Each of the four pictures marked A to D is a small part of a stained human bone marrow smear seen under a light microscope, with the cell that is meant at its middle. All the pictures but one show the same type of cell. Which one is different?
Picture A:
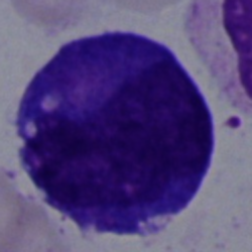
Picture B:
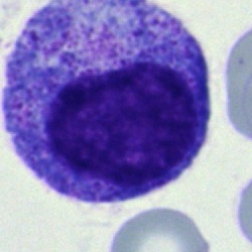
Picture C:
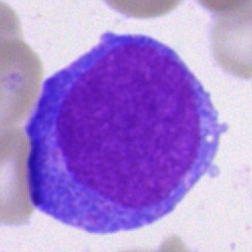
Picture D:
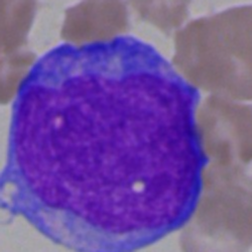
B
